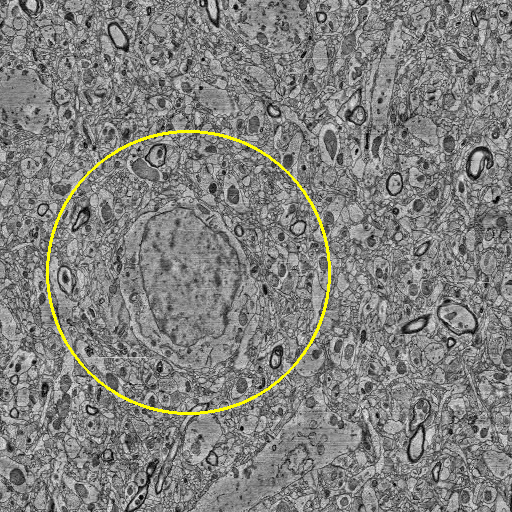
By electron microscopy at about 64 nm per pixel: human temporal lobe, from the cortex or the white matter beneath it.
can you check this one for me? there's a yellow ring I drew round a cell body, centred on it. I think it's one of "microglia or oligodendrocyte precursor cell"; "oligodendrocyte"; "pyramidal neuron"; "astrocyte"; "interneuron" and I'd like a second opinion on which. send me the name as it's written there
interneuron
